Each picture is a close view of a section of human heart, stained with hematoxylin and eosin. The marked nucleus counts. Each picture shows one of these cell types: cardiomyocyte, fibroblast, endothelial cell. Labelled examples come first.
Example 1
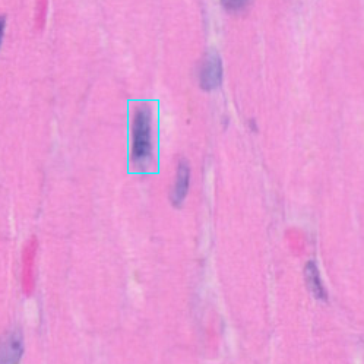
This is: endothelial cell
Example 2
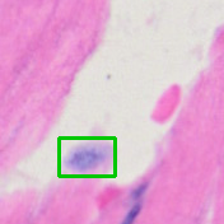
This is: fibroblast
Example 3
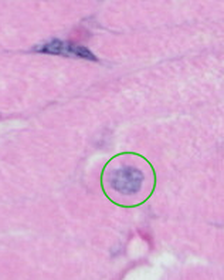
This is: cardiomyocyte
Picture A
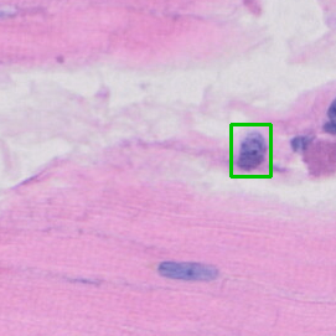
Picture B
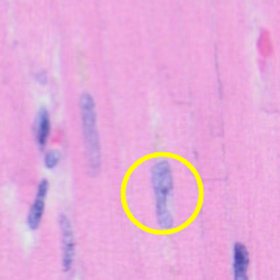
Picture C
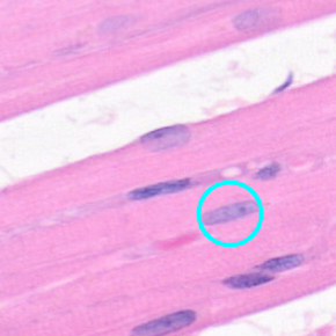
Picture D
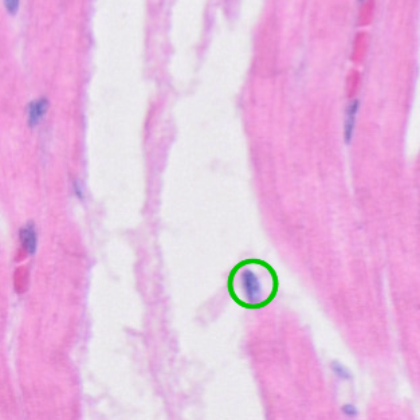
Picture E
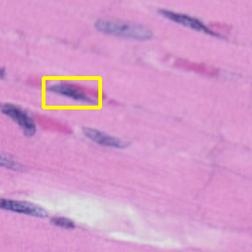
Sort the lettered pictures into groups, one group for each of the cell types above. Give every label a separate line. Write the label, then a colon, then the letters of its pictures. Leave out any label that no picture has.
cardiomyocyte: B, C
fibroblast: A, D
endothelial cell: E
